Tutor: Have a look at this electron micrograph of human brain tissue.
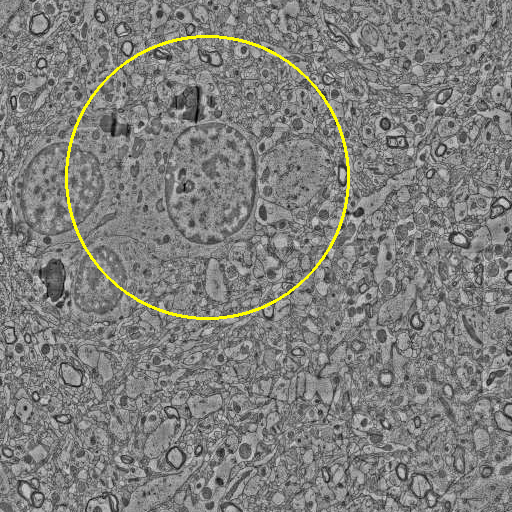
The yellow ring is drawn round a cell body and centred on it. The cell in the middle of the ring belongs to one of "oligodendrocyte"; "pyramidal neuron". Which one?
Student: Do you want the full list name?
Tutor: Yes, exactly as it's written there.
oligodendrocyte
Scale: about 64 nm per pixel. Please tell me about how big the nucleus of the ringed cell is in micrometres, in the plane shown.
In this plane, roughly 8 by 6 micrometres.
